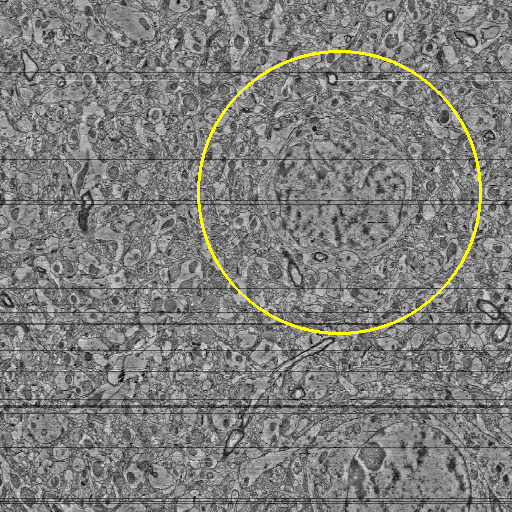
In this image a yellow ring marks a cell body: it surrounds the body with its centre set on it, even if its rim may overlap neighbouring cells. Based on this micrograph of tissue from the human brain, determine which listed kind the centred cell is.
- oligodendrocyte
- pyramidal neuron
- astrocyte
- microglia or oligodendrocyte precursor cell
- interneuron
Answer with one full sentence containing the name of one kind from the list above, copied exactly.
It is an interneuron whose body the yellow ring encloses at its centre.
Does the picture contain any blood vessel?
No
